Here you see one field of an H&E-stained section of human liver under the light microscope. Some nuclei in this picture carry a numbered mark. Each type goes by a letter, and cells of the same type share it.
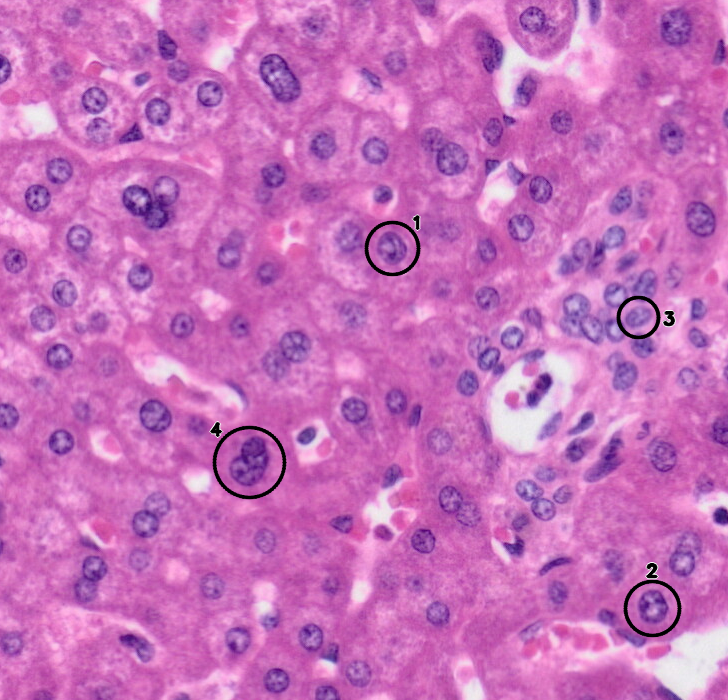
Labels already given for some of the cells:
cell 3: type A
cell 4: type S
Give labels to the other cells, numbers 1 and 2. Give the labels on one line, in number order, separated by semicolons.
type S; type S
